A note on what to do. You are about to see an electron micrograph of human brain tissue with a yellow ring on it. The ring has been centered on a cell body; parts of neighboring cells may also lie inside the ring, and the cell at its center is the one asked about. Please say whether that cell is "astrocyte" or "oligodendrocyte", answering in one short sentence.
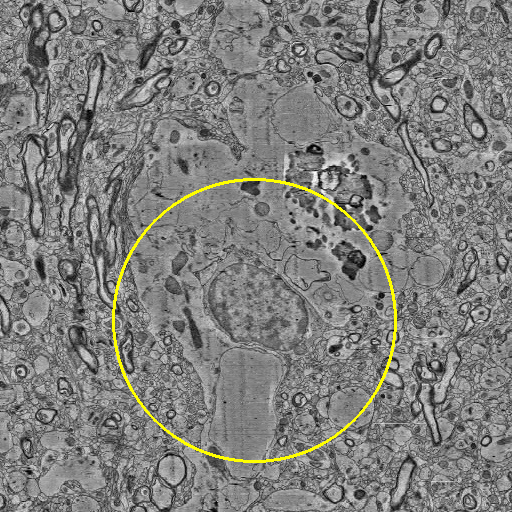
The yellow ring sits on an oligodendrocyte.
